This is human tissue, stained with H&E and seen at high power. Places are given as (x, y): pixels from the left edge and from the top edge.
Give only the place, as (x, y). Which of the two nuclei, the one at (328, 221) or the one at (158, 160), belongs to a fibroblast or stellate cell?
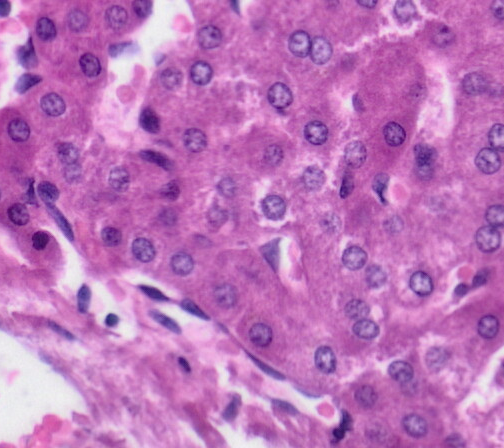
(158, 160)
